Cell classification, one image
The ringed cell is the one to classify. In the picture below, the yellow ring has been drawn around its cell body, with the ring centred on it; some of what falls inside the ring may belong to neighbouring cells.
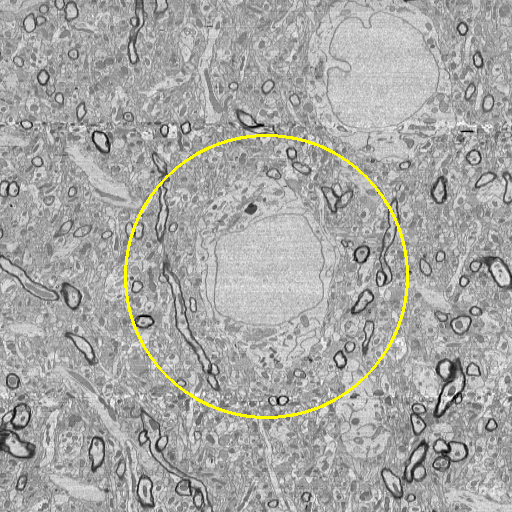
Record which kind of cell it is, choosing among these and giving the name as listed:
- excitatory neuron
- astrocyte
excitatory neuron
